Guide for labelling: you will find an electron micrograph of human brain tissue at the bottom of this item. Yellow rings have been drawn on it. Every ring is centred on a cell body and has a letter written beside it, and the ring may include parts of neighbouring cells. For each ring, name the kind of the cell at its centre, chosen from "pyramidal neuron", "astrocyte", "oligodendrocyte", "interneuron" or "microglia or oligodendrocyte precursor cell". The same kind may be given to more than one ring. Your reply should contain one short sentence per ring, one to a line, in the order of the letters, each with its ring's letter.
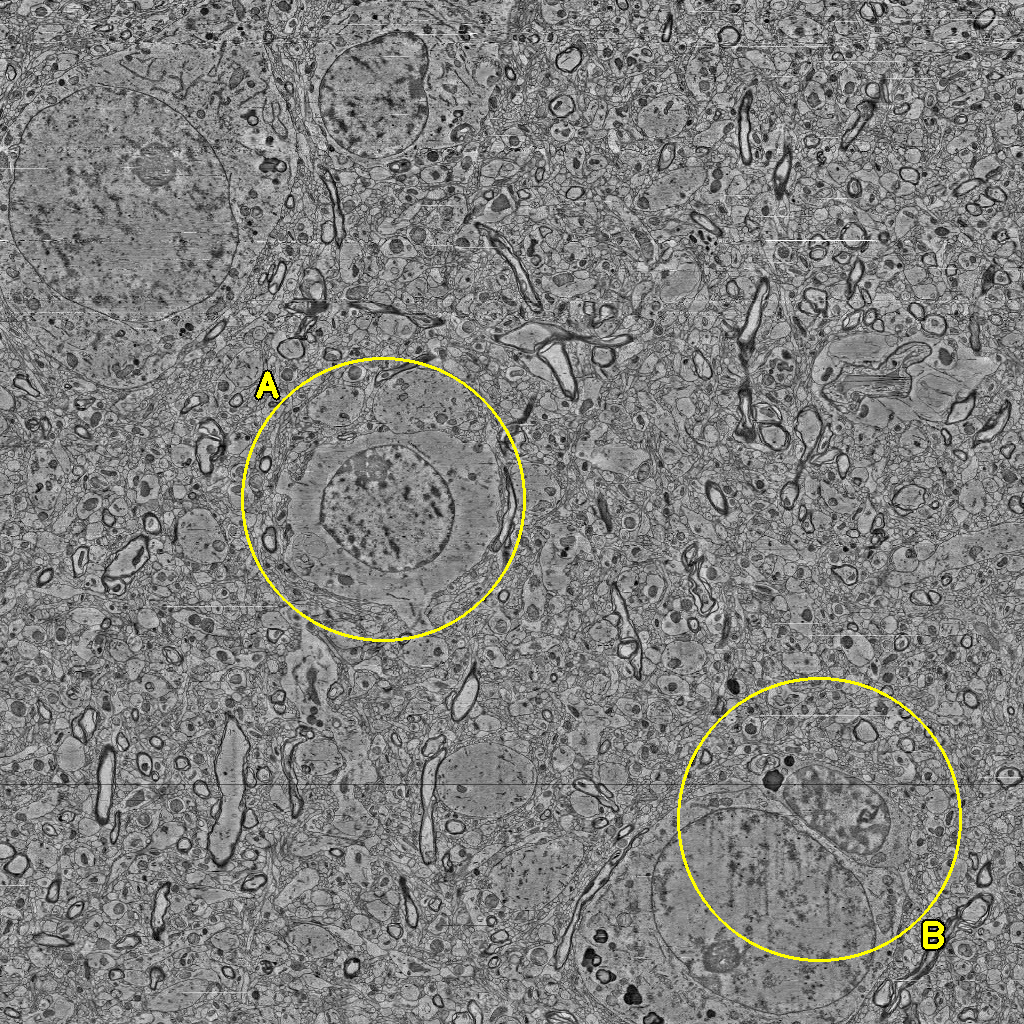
Ring A is centred on the body of an astrocyte.
Ring B is centred on the body of an oligodendrocyte.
